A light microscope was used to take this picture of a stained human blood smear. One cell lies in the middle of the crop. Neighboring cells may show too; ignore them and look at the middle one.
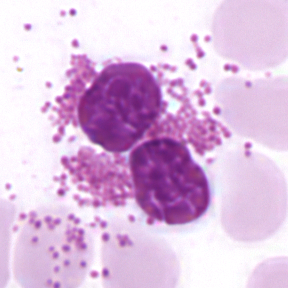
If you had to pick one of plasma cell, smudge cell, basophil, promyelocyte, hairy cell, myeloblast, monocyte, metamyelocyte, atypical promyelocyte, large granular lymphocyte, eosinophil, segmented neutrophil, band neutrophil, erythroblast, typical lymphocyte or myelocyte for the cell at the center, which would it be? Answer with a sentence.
Standing at the centre of this crop is an eosinophil.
